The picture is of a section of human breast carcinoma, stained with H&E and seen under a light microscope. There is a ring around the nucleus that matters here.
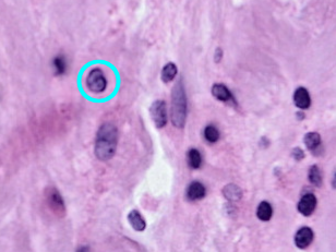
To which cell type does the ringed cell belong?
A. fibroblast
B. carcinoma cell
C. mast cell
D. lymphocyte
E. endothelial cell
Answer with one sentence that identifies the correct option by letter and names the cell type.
Hey, it is option D: the ringed cell is a lymphocyte.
